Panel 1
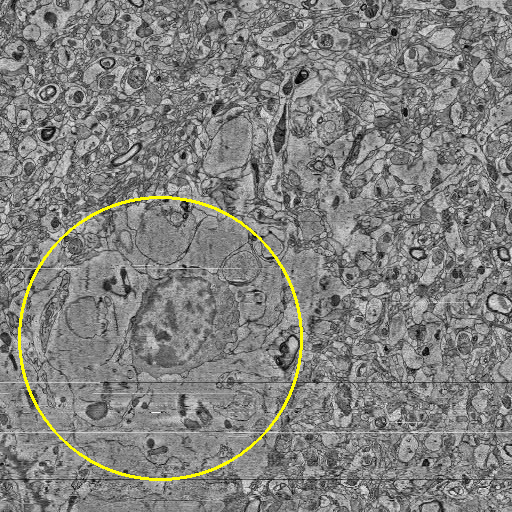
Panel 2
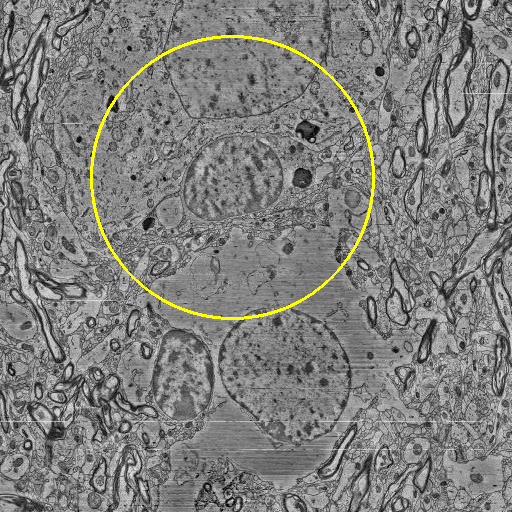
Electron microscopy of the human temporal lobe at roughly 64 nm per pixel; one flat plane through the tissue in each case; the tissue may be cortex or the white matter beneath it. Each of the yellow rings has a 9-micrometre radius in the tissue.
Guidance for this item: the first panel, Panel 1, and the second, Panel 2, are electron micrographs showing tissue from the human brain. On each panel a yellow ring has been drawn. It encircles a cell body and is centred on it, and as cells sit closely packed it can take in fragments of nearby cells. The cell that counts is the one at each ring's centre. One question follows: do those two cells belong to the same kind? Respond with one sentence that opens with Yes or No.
Yes, the cells at the ring centres in Panel 1 and Panel 2 are of one kind.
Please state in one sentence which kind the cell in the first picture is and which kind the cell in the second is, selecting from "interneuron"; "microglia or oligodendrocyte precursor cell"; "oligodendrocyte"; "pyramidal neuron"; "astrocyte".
The cell at the ring centre is an oligodendrocyte in both pictures.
